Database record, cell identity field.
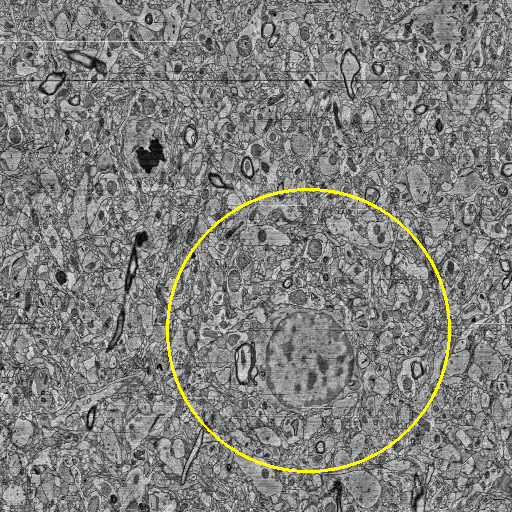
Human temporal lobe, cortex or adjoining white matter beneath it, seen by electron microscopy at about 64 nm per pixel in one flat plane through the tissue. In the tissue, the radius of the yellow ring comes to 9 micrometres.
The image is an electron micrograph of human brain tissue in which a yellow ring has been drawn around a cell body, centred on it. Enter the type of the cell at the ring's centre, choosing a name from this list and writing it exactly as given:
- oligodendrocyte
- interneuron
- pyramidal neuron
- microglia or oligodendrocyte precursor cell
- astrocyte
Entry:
oligodendrocyte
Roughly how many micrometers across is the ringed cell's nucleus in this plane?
In this plane the nucleus measures roughly 7 by 6 micrometers.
